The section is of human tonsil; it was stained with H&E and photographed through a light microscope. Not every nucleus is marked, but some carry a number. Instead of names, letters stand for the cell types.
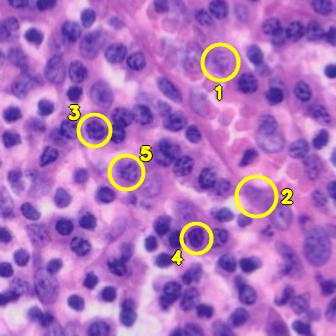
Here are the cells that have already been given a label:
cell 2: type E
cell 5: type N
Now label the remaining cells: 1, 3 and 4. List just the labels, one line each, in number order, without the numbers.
type E
type N
type N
